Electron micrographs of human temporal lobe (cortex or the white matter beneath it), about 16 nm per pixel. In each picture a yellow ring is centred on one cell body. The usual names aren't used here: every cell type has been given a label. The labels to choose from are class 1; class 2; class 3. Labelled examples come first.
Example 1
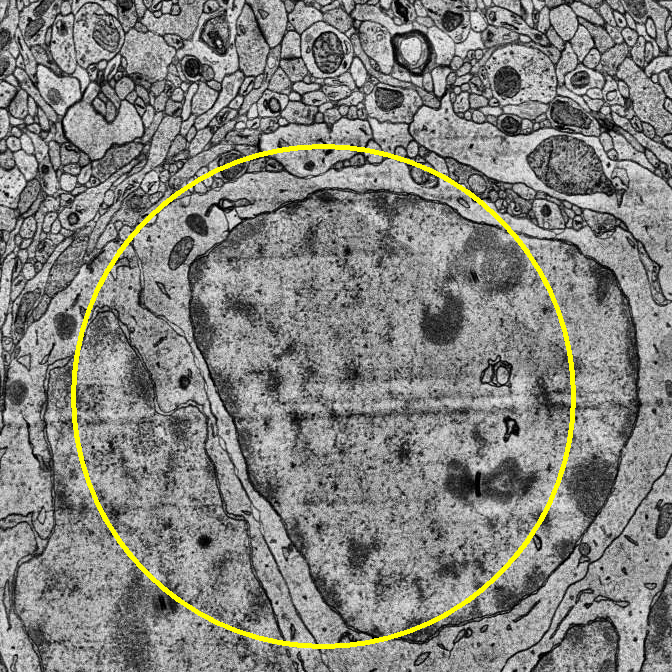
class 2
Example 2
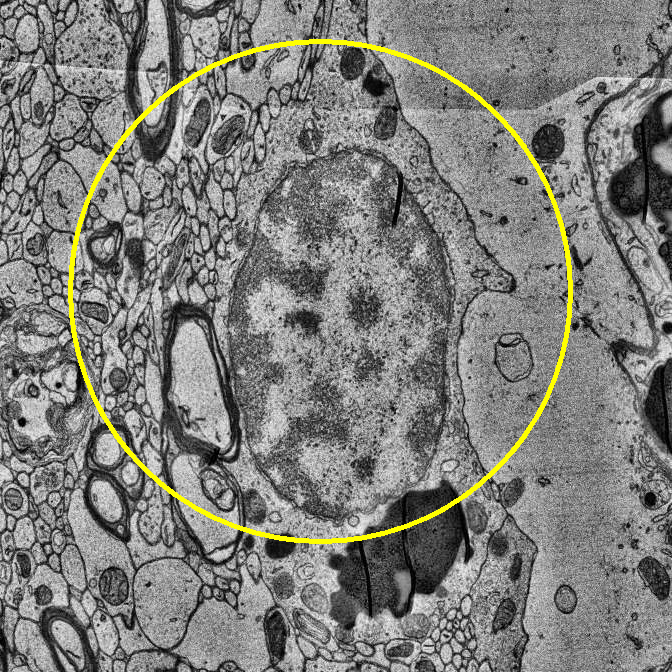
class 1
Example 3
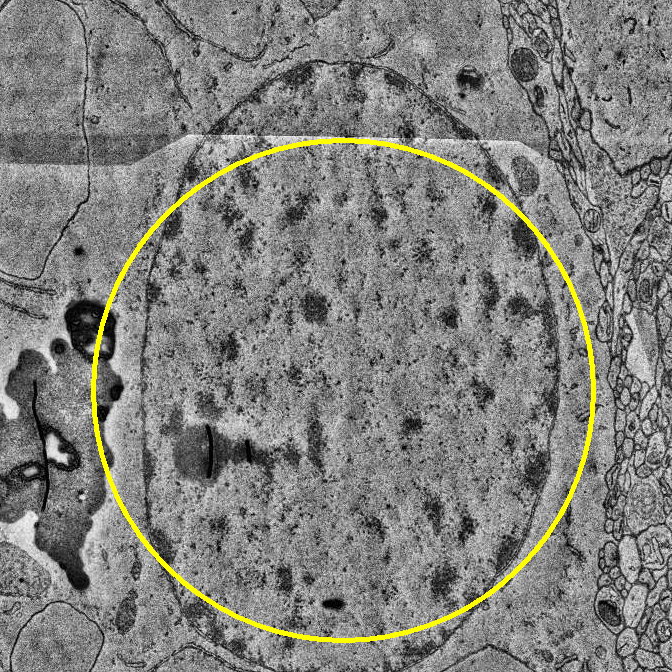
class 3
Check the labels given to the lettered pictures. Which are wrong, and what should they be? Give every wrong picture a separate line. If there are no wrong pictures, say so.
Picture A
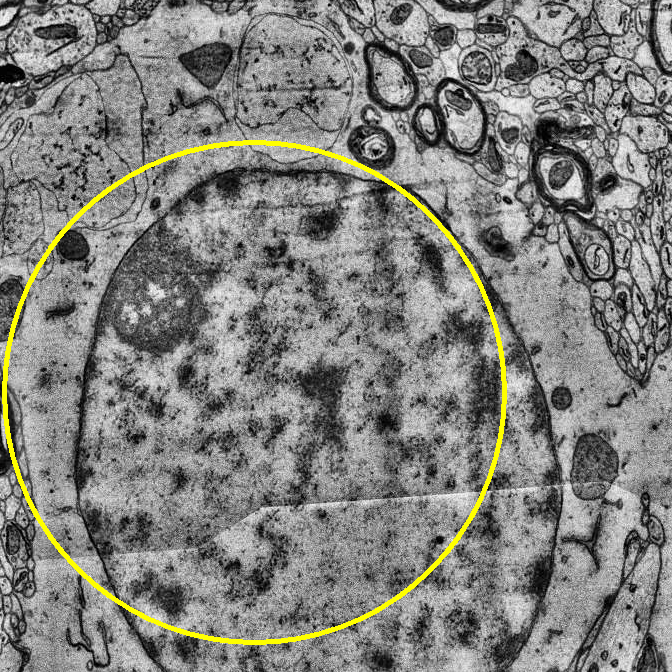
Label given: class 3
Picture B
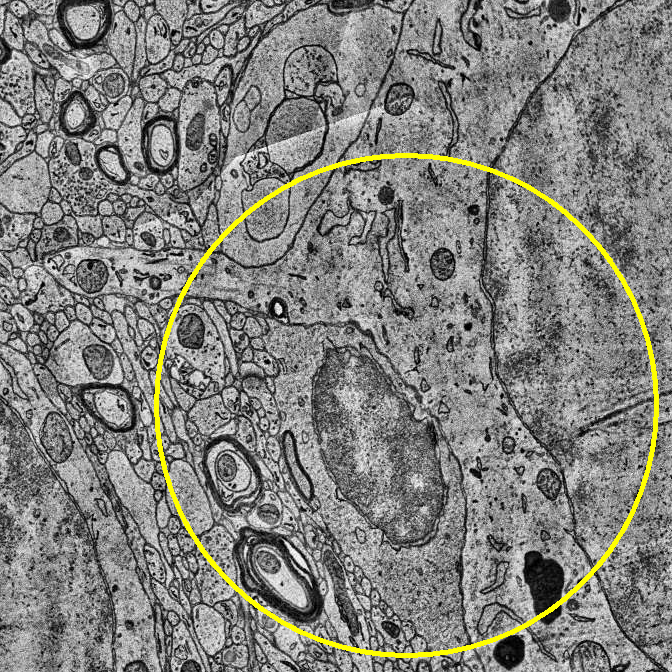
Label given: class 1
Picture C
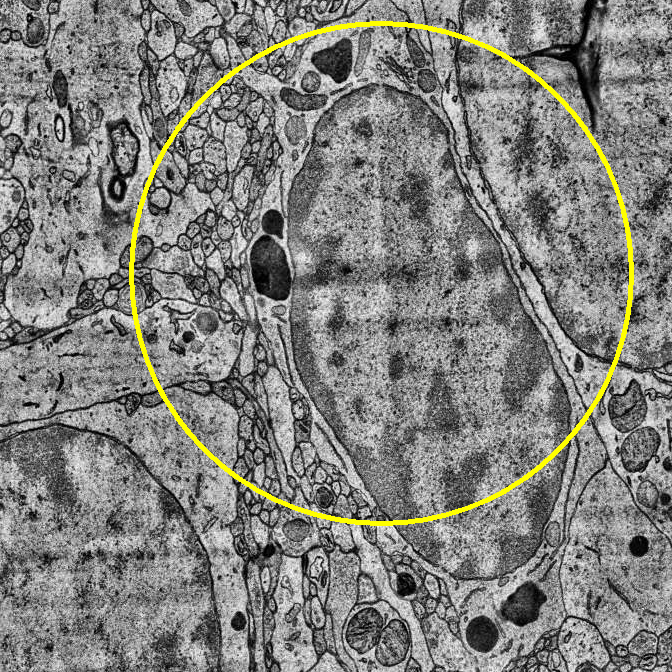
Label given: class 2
Nothing to fix; every label fits.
